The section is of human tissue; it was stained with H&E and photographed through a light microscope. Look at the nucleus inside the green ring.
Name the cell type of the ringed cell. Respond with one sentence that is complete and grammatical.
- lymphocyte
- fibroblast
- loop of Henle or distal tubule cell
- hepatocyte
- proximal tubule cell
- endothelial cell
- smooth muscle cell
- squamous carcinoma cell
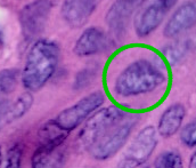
Cytologically, the ringed cell is to be regarded as a squamous carcinoma cell.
